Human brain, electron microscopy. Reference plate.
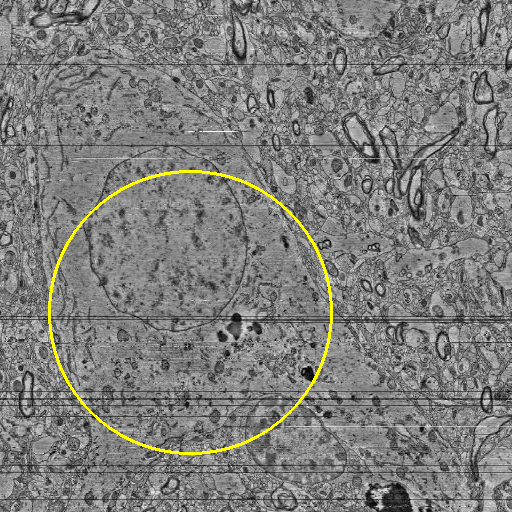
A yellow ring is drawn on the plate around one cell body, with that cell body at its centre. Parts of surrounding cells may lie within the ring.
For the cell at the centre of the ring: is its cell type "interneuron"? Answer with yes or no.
No, its cell type is another one.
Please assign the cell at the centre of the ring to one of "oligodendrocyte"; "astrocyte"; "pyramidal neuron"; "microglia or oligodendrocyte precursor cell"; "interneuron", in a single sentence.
The cell enclosed by the ring is a pyramidal neuron.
